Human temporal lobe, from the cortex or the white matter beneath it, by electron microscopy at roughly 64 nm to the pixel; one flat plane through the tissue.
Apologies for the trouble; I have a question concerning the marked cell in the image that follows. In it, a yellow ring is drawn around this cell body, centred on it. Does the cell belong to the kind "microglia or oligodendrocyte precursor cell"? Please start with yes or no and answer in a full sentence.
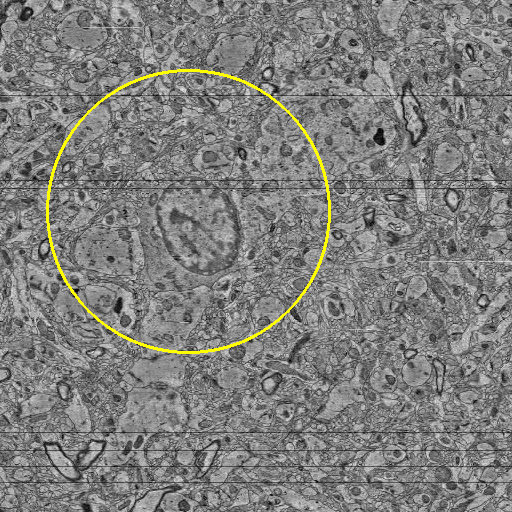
No, the ringed cell in the picture is of a different kind.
